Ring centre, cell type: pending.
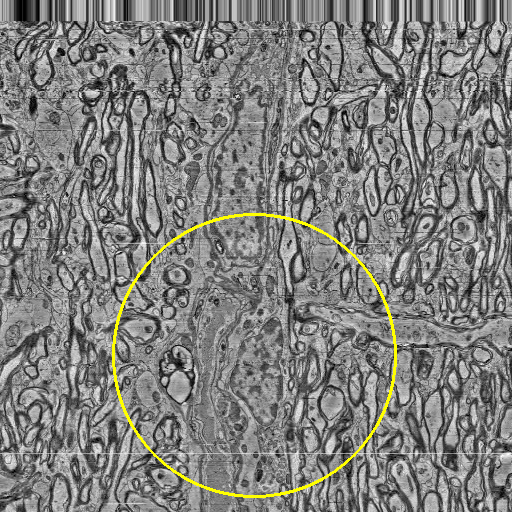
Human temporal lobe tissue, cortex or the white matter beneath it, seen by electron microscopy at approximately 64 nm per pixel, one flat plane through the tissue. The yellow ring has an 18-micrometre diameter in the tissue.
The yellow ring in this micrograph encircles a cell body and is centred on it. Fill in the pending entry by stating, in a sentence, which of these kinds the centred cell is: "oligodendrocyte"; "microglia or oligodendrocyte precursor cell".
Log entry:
The centred cell is recorded as a microglial cell or oligodendrocyte precursor cell.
